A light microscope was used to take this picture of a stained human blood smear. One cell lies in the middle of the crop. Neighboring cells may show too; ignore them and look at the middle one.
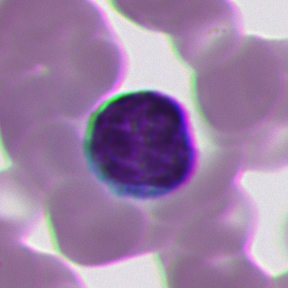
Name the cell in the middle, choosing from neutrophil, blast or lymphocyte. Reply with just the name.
lymphocyte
